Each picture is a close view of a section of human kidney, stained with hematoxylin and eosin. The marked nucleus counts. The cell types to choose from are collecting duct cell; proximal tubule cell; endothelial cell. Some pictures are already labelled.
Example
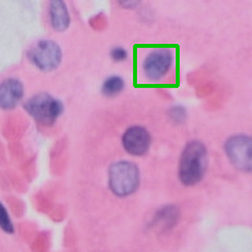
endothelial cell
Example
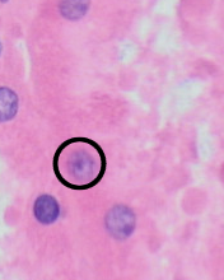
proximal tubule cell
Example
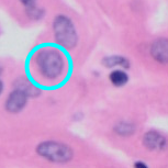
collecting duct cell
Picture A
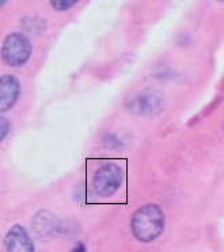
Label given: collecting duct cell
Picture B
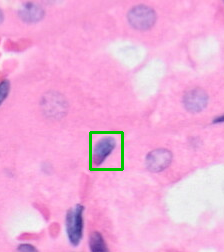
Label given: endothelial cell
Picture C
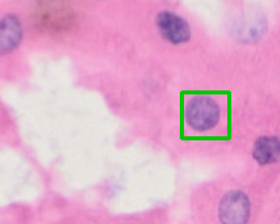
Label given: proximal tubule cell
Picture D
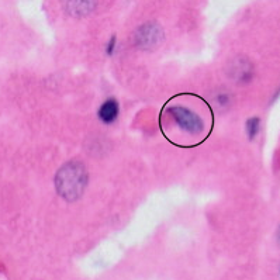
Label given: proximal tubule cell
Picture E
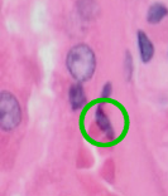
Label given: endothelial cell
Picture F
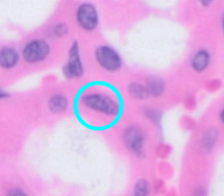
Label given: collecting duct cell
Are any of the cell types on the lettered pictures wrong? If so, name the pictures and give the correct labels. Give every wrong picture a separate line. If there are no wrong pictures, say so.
Wrong: D (proximal tubule cell); correct: endothelial cell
